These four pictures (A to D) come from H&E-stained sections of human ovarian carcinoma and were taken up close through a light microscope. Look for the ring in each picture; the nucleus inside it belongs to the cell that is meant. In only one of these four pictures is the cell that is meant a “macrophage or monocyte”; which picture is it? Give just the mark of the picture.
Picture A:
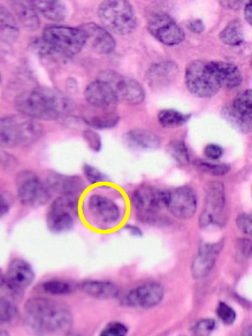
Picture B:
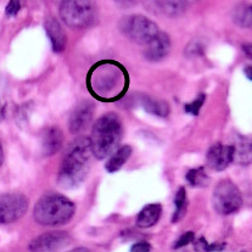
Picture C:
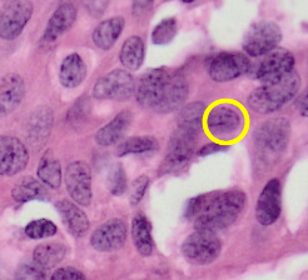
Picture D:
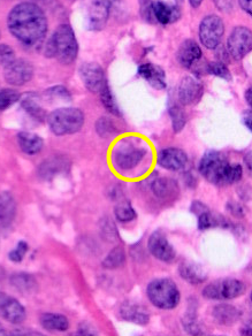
A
